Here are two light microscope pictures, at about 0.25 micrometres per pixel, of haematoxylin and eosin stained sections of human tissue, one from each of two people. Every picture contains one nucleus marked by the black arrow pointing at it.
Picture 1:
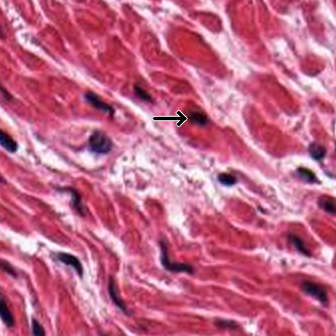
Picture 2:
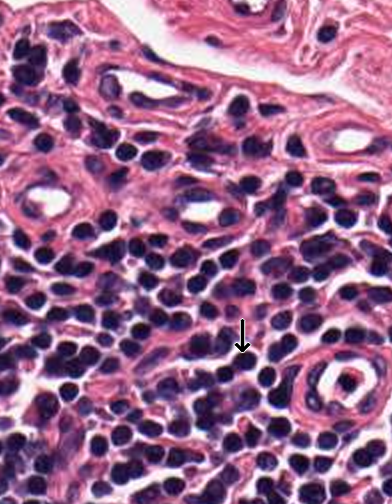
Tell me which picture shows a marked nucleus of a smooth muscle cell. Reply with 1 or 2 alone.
1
